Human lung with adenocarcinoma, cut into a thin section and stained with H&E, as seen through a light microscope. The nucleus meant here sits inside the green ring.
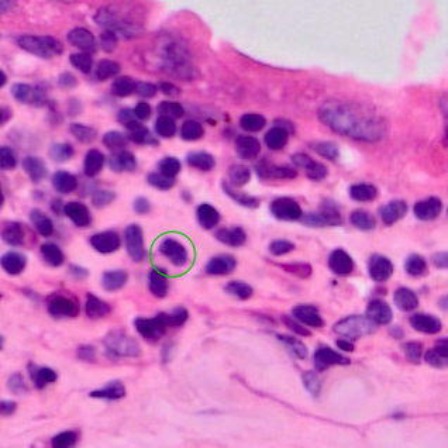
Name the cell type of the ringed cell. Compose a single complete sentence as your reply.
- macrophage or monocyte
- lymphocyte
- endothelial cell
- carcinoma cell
Histopathologically, the ringed cell is a lymphocyte.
